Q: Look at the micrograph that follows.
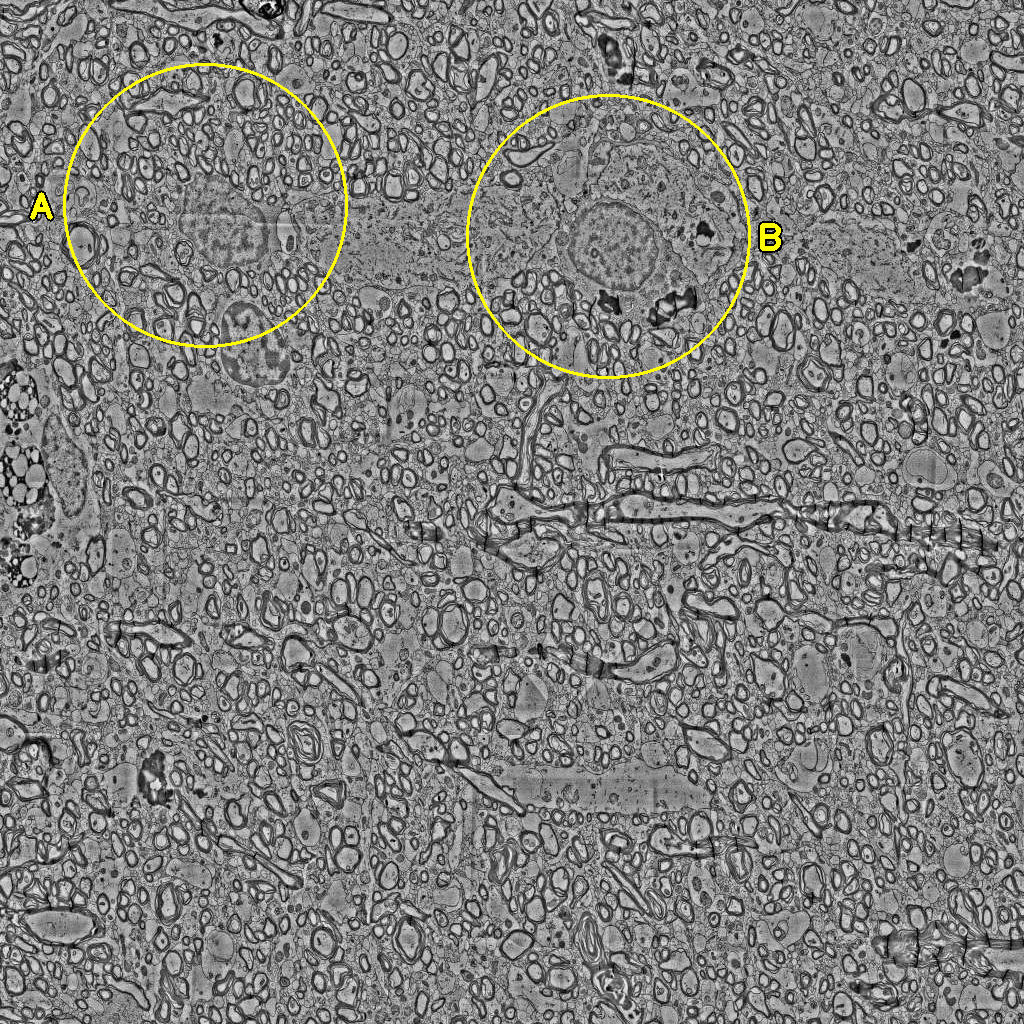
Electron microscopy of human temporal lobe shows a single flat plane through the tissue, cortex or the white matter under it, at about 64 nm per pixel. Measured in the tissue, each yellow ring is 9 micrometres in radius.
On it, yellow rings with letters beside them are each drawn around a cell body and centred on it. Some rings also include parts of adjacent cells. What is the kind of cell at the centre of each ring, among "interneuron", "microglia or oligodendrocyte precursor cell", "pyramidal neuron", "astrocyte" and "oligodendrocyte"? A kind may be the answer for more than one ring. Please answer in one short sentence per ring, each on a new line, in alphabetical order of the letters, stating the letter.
Ring A surrounds the cell body of an oligodendrocyte.
Ring B surrounds the cell body of an oligodendrocyte.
